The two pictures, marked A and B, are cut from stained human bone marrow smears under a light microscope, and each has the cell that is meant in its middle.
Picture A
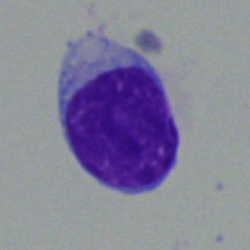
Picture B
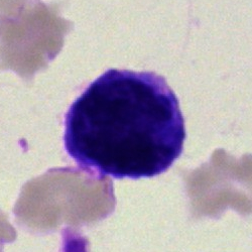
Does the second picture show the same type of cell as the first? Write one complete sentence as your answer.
No. Picture A shows a lymphocyte, but picture B shows a blast.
